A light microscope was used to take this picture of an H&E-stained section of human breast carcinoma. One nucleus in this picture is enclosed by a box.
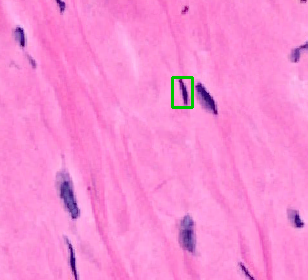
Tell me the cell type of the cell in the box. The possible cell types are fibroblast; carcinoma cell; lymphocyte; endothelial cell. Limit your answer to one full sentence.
The correct response here is that the cell in the box is a fibroblast.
